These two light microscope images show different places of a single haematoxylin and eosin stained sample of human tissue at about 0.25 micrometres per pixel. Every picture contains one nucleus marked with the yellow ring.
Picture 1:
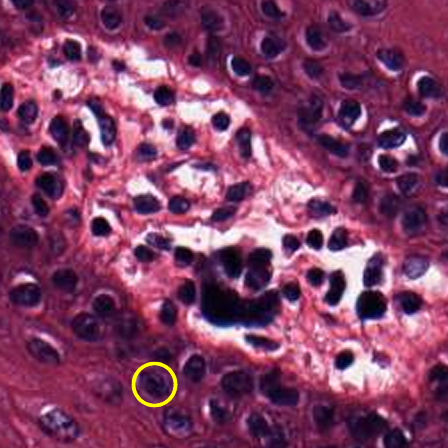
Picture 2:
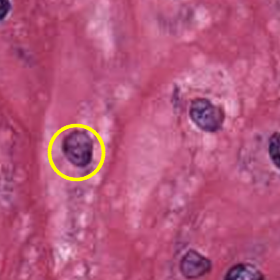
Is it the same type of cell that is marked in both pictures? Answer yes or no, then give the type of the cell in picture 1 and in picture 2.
Yes, both are squamous epithelial cells.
